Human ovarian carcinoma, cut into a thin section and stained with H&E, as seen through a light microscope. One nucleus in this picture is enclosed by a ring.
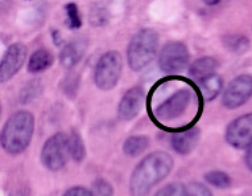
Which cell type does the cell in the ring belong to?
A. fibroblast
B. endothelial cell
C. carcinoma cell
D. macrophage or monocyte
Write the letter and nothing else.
C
